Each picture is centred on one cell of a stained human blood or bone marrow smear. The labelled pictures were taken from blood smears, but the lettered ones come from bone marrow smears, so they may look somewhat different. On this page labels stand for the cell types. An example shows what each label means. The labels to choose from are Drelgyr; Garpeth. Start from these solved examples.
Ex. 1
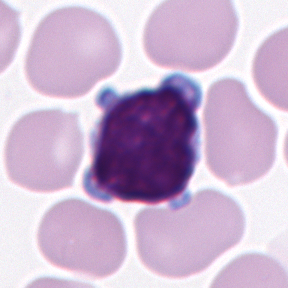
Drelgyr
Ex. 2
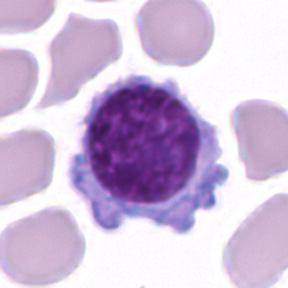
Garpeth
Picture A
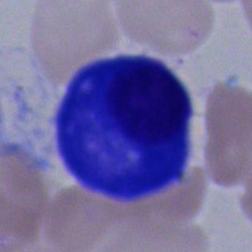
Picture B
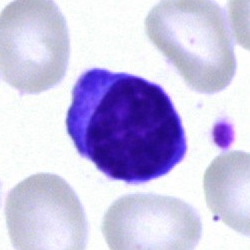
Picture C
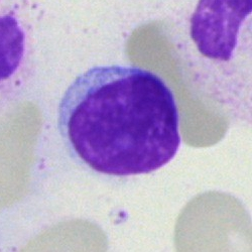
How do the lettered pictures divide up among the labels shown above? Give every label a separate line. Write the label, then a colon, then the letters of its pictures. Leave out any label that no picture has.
Drelgyr: C
Garpeth: A, B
